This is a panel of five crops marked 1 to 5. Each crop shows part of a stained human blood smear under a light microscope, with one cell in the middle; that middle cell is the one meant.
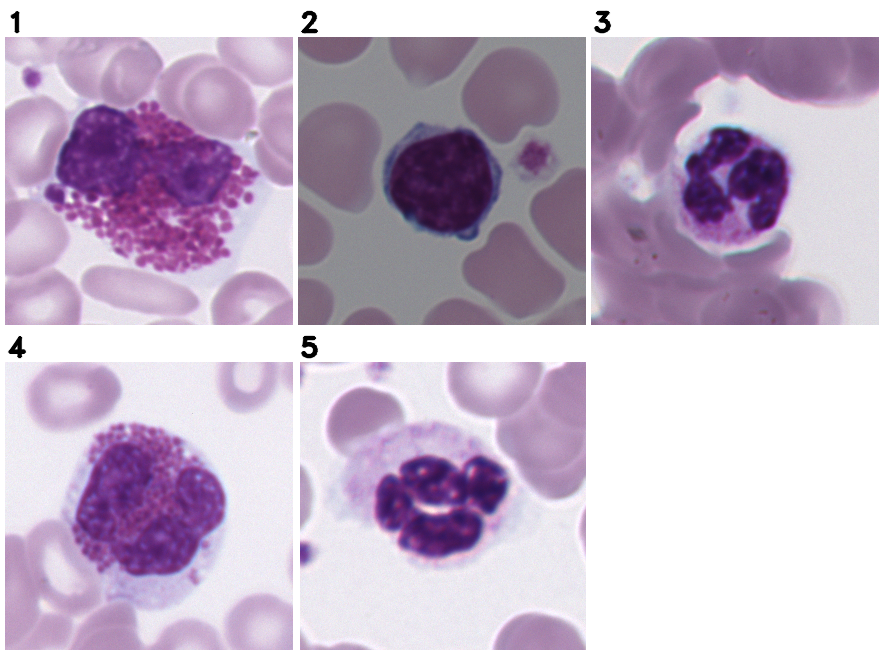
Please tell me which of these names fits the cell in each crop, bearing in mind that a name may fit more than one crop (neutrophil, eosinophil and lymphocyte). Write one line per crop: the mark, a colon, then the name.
1: eosinophil
2: lymphocyte
3: neutrophil
4: eosinophil
5: neutrophil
